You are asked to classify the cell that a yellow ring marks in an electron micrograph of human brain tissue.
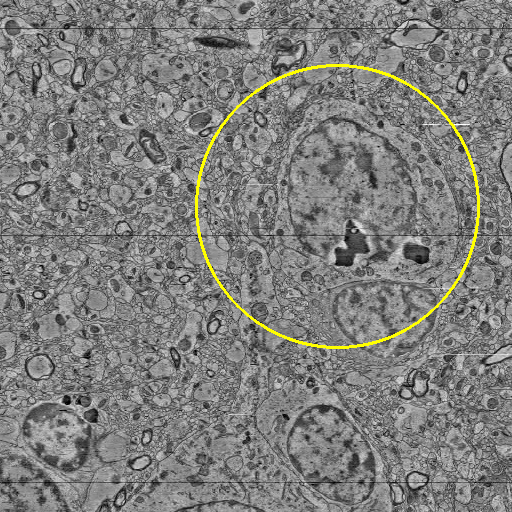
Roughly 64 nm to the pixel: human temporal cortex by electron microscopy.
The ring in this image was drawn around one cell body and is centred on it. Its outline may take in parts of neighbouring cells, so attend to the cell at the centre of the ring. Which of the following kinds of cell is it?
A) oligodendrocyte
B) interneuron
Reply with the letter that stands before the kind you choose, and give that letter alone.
B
